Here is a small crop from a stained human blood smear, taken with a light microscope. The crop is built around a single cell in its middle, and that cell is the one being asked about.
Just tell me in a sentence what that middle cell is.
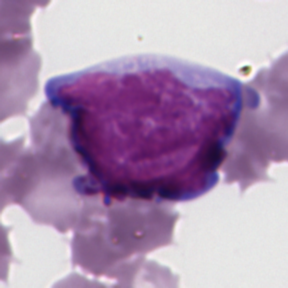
The cell in the middle of the field of view is a blast.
